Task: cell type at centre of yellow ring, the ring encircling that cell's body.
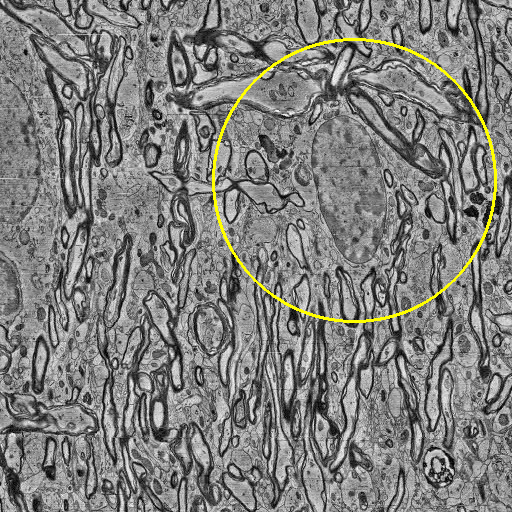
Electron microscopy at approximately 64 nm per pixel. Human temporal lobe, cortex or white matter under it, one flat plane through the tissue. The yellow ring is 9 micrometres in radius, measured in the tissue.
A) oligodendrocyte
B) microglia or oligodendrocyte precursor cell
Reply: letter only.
B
